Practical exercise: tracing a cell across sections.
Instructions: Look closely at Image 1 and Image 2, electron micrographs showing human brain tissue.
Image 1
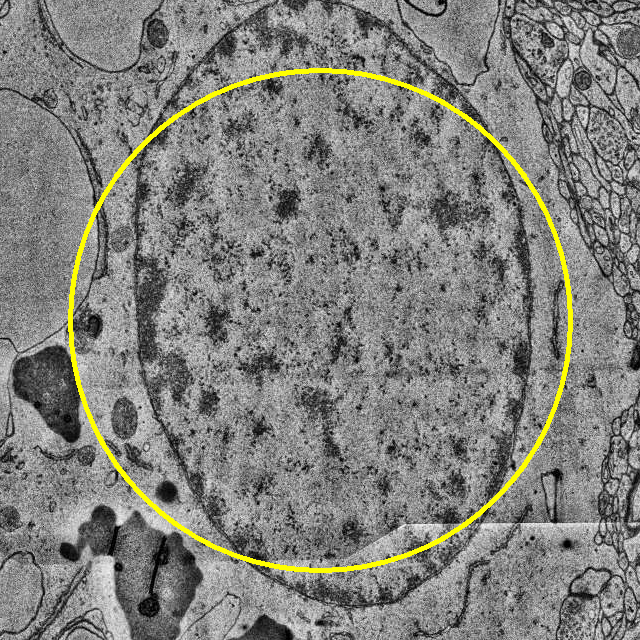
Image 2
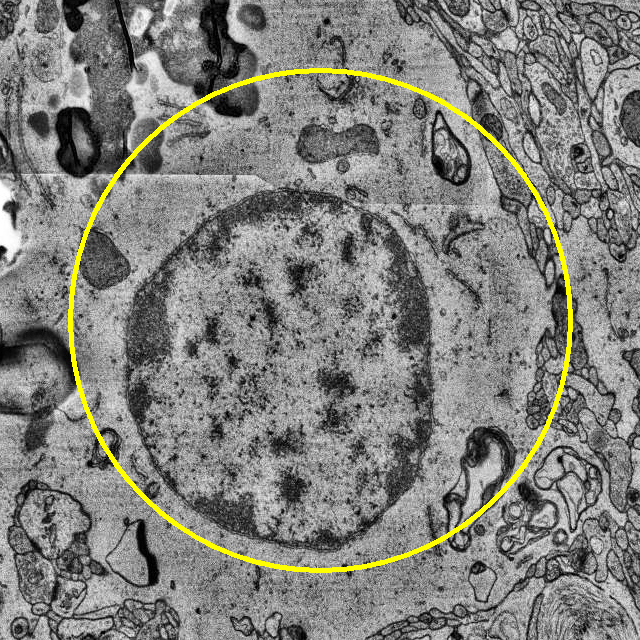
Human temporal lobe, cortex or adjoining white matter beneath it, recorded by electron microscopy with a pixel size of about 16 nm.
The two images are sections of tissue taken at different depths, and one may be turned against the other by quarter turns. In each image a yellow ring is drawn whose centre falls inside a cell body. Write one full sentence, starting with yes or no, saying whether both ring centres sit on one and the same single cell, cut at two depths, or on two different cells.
No, these yellow rings each mark a separate cell.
